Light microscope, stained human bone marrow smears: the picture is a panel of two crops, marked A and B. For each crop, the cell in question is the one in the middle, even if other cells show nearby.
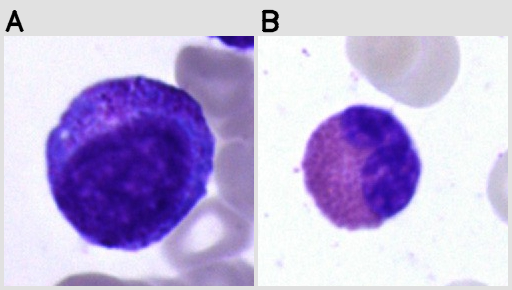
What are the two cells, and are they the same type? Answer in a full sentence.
No, it is a promyelocyte in crop A and an eosinophil in crop B.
